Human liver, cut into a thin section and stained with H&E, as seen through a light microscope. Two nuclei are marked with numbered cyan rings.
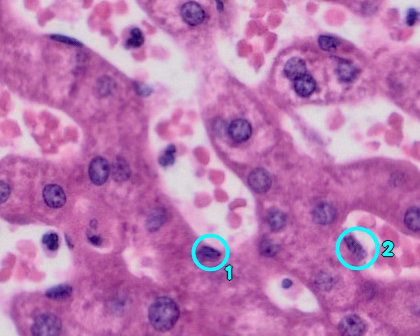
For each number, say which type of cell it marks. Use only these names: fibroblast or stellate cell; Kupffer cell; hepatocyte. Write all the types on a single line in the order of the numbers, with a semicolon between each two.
fibroblast or stellate cell; Kupffer cell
